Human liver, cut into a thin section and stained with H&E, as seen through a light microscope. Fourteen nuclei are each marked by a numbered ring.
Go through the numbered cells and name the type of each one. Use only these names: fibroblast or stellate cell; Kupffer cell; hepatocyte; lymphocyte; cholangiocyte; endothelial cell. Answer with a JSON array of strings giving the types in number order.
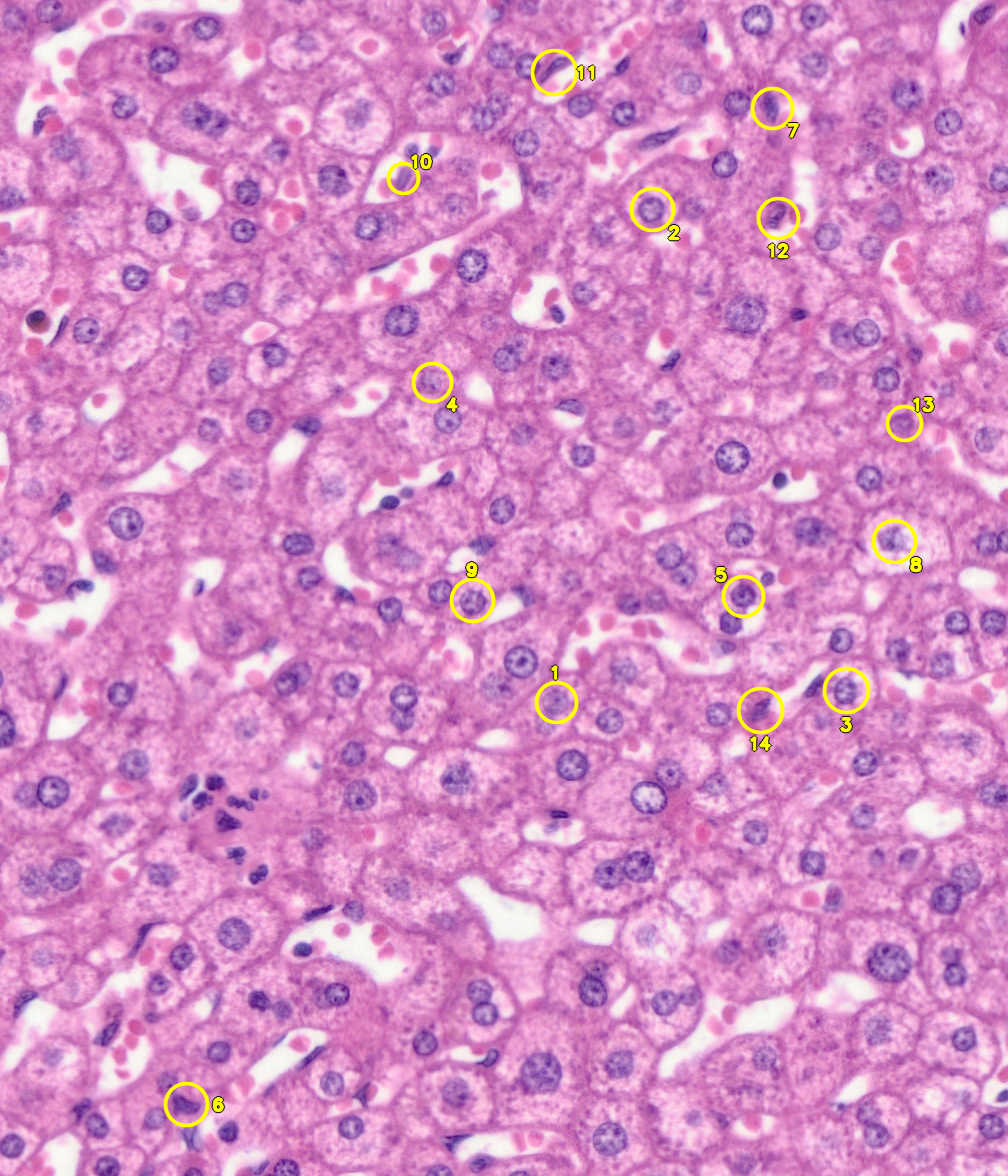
["hepatocyte", "hepatocyte", "hepatocyte", "hepatocyte", "hepatocyte", "fibroblast or stellate cell", "fibroblast or stellate cell", "hepatocyte", "hepatocyte", "Kupffer cell", "Kupffer cell", "Kupffer cell", "hepatocyte", "endothelial cell"]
